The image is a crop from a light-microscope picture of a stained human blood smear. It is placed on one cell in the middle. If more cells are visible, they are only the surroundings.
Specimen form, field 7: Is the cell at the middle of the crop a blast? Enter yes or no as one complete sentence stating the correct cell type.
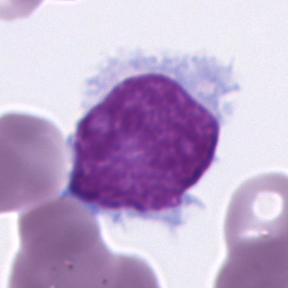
No, the cell centered in the crop is a hairy cell, not a blast.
